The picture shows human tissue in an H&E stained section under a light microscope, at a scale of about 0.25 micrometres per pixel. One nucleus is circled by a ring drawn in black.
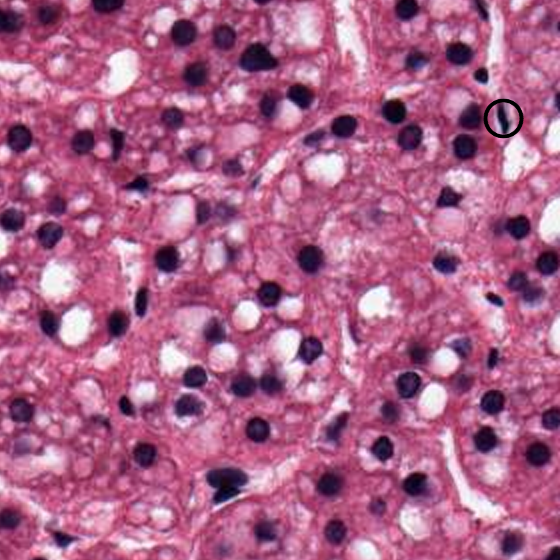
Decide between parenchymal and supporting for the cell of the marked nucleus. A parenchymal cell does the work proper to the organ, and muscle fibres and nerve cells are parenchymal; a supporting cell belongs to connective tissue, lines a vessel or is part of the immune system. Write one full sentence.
The cell to which the marked nucleus belongs is a supporting cell.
